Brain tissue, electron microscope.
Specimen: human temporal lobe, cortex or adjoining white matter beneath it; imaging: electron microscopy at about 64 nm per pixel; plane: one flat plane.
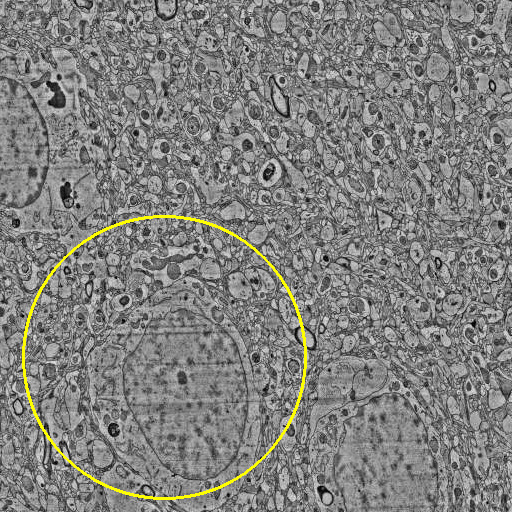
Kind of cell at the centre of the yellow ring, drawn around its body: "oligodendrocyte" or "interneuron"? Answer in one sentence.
The ring's centre falls on an interneuron.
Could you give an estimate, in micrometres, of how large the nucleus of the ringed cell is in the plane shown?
Approximately 10 micrometres long and 8 micrometres wide, in this plane.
